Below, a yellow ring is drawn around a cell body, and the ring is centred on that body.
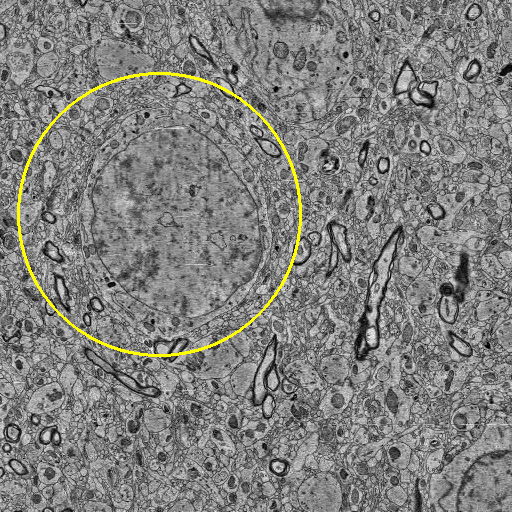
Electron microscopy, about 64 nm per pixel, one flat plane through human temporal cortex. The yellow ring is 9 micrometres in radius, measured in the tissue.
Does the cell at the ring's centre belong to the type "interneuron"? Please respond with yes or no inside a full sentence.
Yes, the centred cell inside the ring shown in the picture is of this type.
